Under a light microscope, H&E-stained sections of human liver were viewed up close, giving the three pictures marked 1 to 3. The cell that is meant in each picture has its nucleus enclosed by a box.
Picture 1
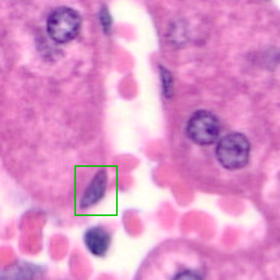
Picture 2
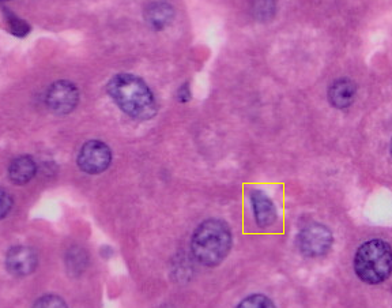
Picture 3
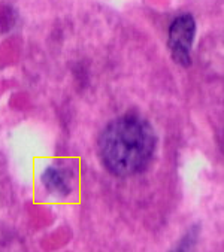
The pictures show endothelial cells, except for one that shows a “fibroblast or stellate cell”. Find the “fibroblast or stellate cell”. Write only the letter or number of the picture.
1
